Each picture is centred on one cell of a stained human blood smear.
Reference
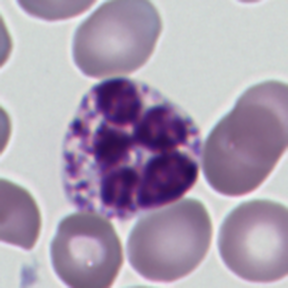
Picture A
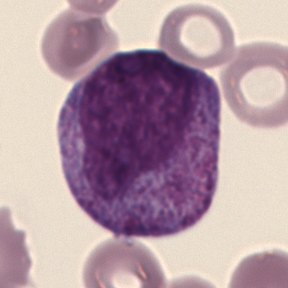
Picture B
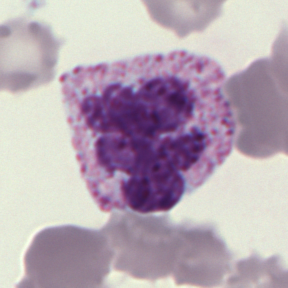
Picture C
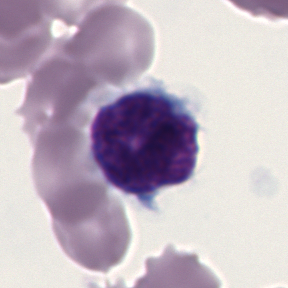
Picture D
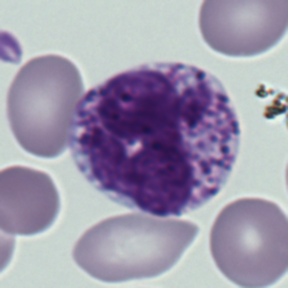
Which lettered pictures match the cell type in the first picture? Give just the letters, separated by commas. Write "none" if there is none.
B, D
